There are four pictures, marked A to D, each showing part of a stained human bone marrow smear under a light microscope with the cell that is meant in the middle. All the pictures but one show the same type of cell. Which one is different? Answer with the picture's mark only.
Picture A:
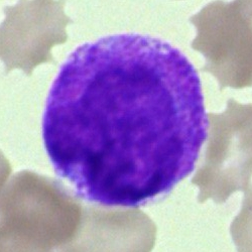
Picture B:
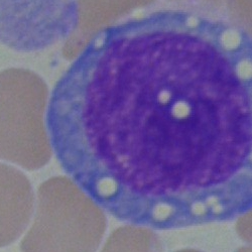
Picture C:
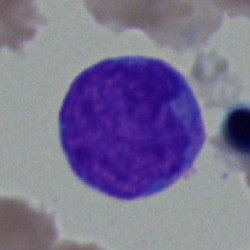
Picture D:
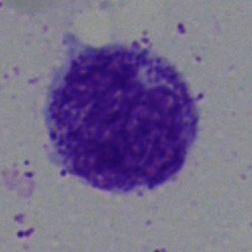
D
